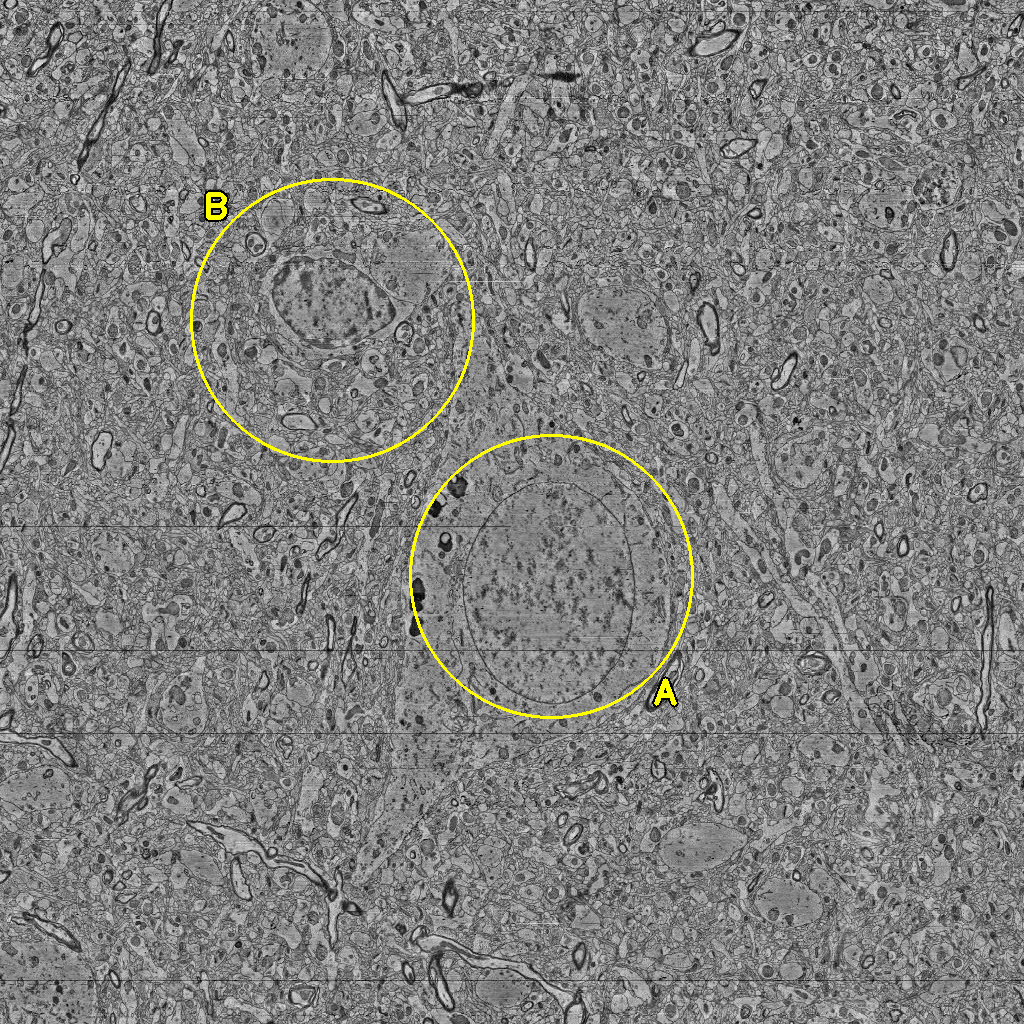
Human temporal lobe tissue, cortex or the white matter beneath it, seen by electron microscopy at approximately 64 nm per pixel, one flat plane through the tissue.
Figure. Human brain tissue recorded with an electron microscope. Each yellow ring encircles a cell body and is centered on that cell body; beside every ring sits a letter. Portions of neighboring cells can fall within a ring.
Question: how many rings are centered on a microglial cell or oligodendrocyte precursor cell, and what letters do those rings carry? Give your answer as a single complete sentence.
Only a single yellow ring is centred on a microglial cell or oligodendrocyte precursor cell, and its letter is B.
